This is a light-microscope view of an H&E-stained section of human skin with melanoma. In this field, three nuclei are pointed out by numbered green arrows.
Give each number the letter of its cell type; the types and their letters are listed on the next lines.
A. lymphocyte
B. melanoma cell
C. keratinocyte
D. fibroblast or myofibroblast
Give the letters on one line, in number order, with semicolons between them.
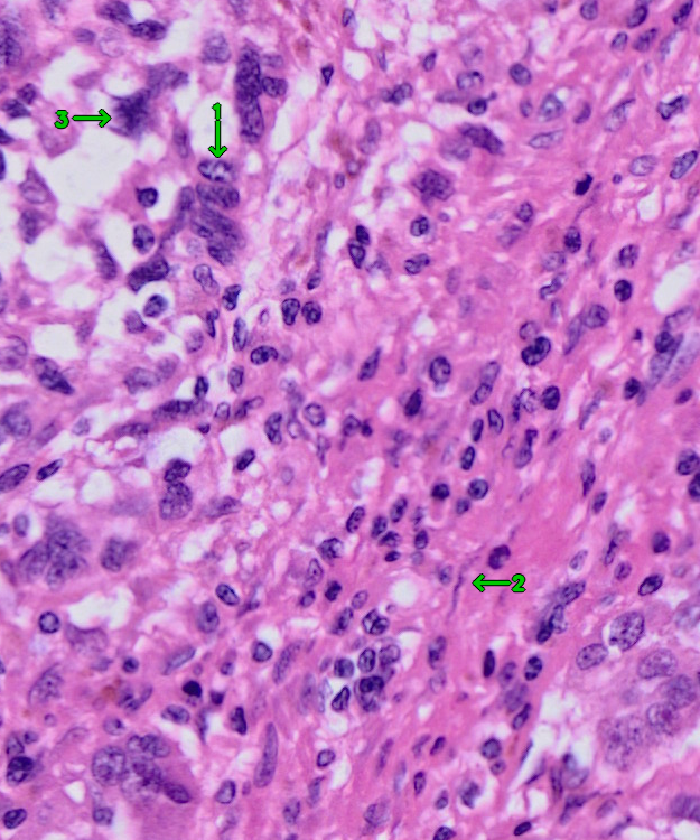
B; D; B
